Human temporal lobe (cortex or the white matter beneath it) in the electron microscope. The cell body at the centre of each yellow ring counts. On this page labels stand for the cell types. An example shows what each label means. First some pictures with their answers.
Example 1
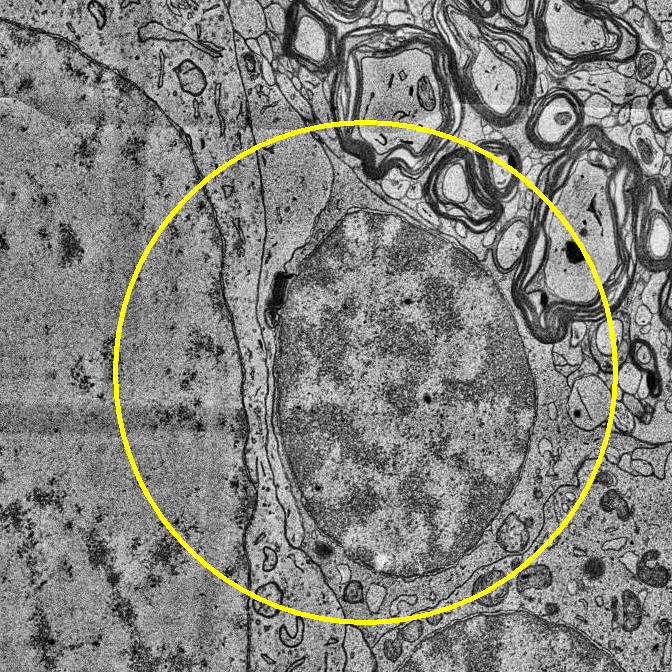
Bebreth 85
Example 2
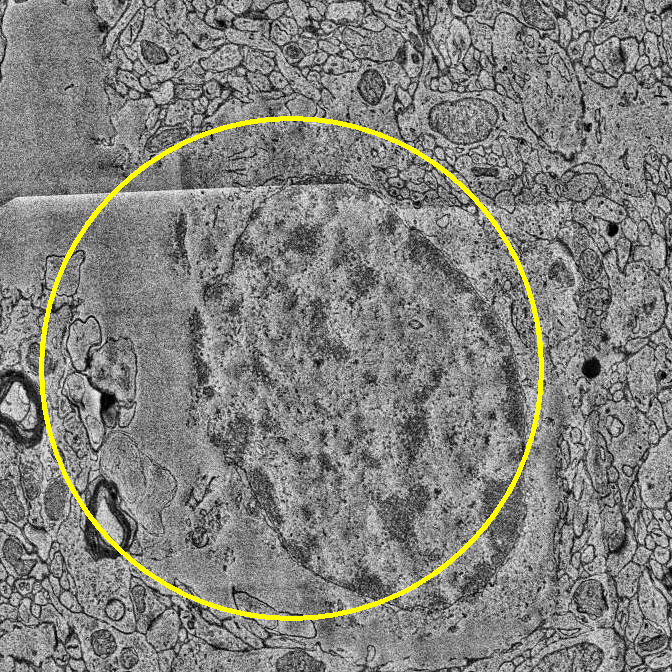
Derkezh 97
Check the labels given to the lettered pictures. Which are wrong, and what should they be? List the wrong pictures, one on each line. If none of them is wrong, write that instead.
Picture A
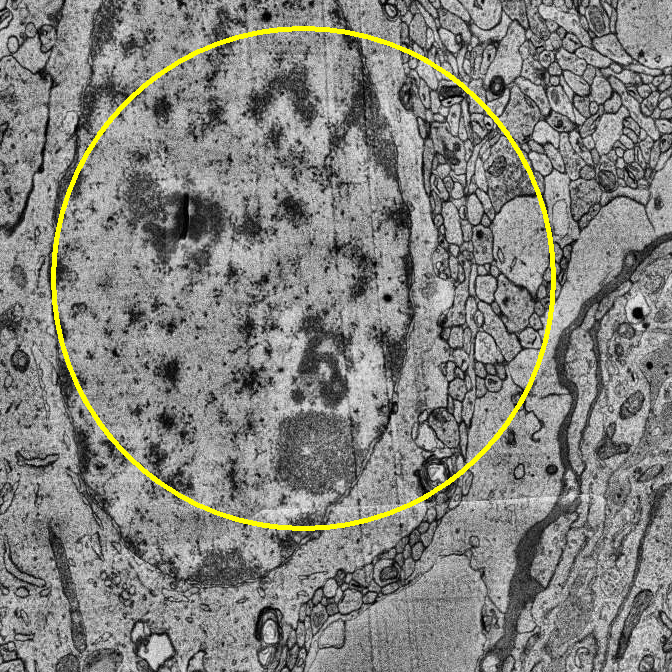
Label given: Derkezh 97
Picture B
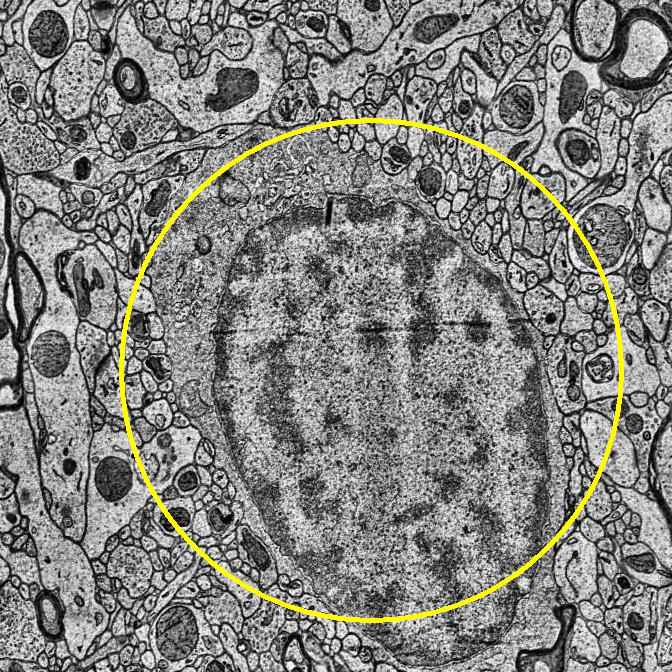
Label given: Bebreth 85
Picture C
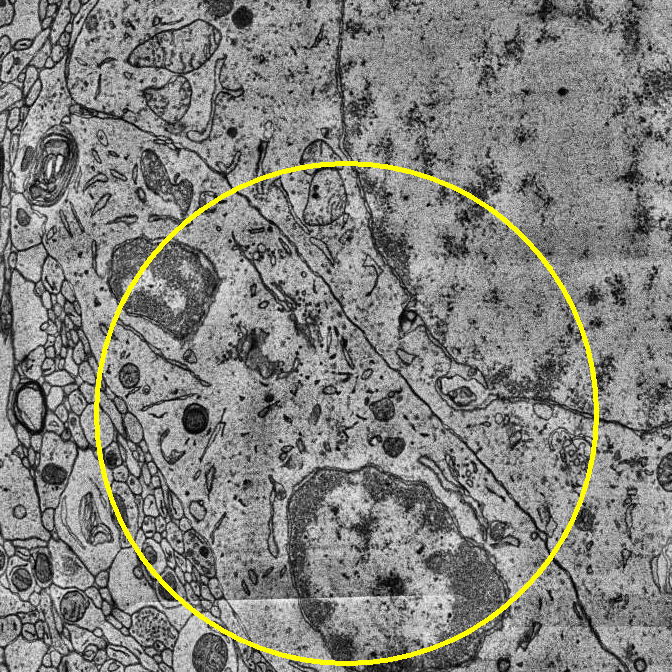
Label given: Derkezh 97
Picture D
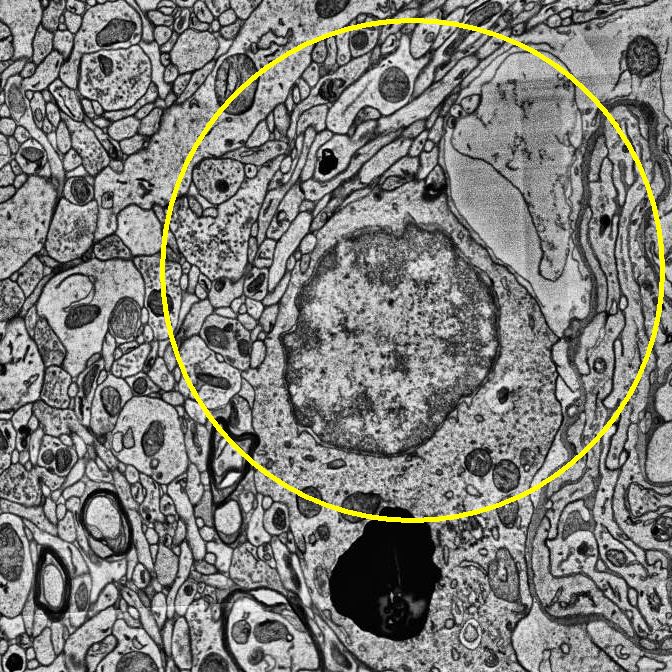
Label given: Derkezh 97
D: not Derkezh 97 but Bebreth 85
